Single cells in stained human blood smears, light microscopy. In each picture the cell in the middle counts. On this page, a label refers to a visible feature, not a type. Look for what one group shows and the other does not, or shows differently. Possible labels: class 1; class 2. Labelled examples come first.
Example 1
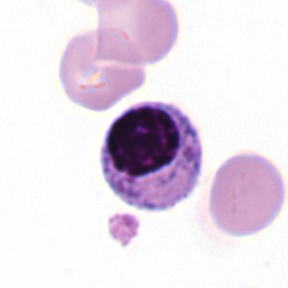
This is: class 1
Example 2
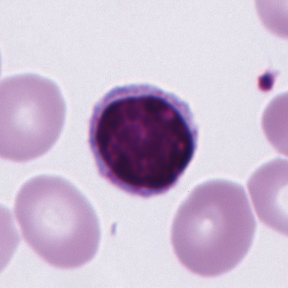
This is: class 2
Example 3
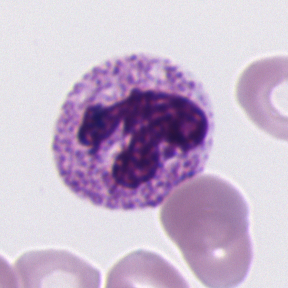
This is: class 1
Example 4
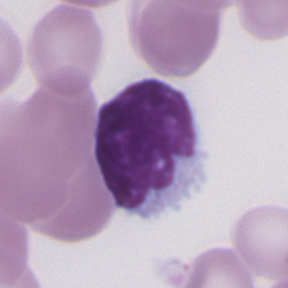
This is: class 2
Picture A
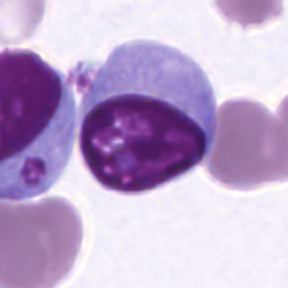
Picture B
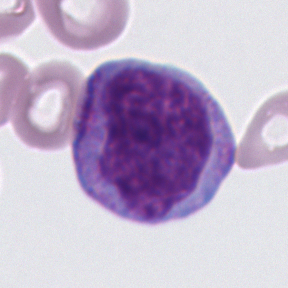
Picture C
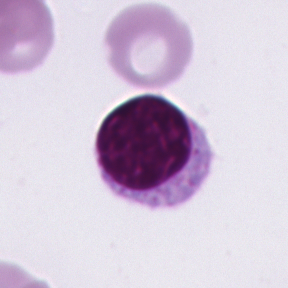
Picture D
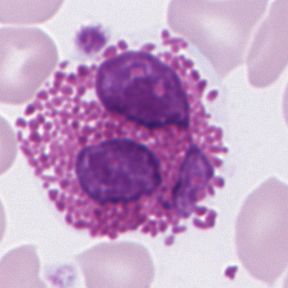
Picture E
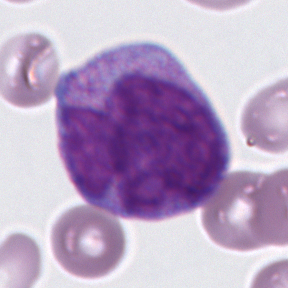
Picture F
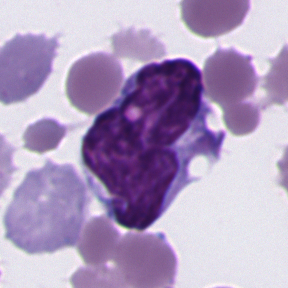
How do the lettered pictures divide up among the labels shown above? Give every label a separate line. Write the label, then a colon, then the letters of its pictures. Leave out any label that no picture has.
class 1: A, B, C, E
class 2: D, F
